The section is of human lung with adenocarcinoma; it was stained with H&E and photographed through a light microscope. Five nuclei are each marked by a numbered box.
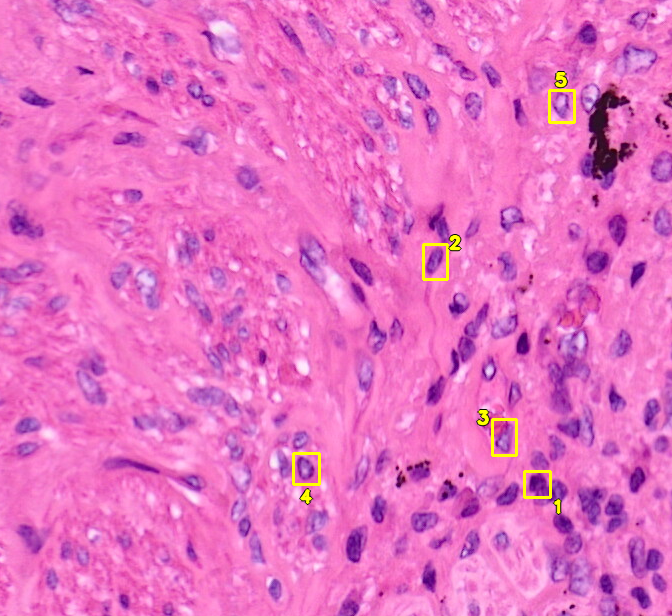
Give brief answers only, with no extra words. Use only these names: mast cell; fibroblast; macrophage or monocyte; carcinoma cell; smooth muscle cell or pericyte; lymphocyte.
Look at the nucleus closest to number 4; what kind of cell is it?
smooth muscle cell or pericyte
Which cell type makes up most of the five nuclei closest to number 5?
fibroblast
